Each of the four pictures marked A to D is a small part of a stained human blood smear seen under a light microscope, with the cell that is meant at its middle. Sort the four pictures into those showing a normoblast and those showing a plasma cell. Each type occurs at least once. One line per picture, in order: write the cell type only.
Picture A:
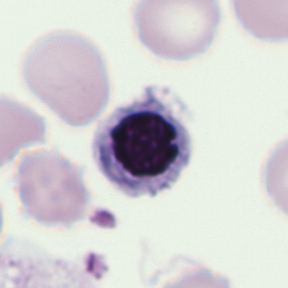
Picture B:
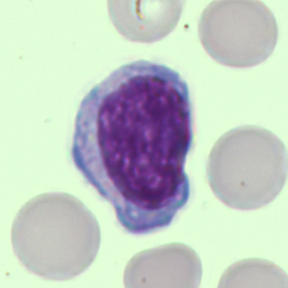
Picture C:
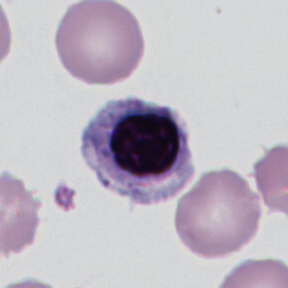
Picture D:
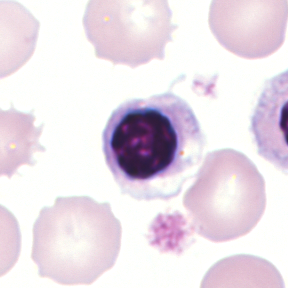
normoblast
plasma cell
normoblast
normoblast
